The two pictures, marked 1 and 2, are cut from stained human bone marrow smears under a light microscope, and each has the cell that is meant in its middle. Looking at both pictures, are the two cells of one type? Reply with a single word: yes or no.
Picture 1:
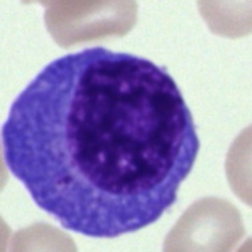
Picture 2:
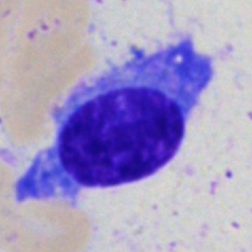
yes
